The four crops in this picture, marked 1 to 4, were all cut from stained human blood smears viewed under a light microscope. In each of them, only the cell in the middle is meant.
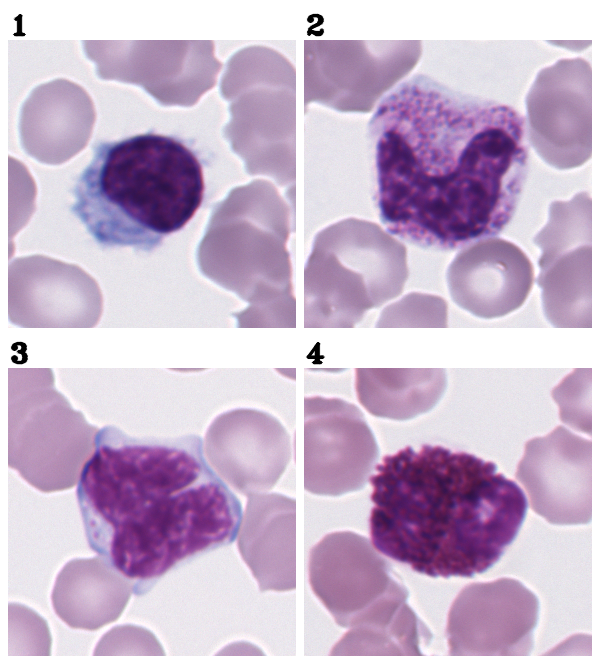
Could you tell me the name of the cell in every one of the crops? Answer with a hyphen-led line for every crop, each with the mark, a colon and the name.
- 1: hairy cell
- 2: metamyelocyte
- 3: large granular lymphocyte
- 4: eosinophil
